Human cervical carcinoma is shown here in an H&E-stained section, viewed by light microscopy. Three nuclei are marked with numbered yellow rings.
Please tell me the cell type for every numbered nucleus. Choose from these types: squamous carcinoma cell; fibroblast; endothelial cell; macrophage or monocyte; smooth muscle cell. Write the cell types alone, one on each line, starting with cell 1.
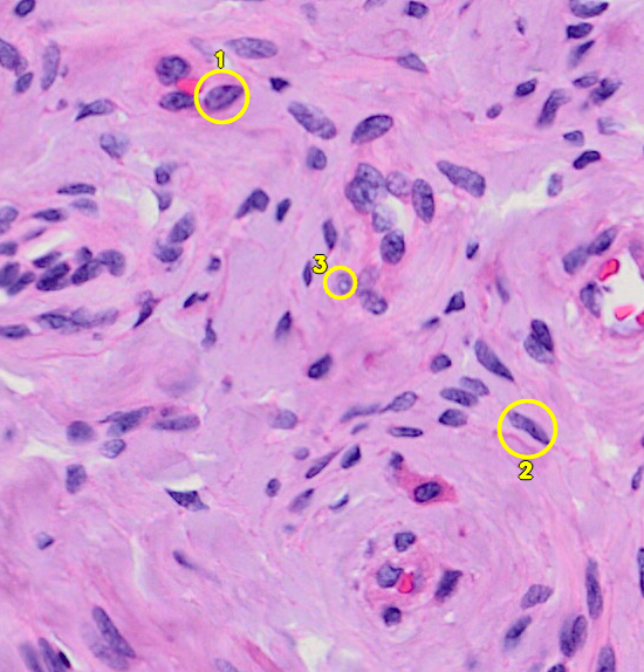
endothelial cell
fibroblast
smooth muscle cell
